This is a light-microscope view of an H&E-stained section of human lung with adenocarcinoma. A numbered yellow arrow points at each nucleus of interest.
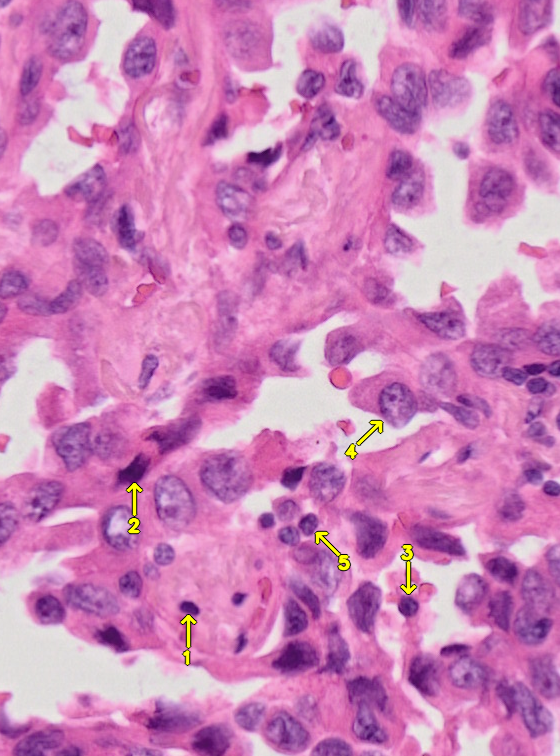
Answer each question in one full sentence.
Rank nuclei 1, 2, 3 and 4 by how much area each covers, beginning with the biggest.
By area, largest first, they run 4, 2, 3, 1.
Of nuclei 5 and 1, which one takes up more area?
At about 1.5 times the area of nucleus 1, nucleus 5 is the larger of the two.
